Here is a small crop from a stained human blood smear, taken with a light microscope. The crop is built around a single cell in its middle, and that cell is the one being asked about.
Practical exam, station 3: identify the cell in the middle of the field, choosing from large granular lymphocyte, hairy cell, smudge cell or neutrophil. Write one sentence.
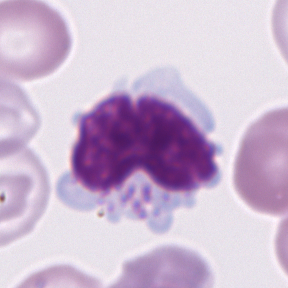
The cell that lies at the centre of the crop is a large granular lymphocyte.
